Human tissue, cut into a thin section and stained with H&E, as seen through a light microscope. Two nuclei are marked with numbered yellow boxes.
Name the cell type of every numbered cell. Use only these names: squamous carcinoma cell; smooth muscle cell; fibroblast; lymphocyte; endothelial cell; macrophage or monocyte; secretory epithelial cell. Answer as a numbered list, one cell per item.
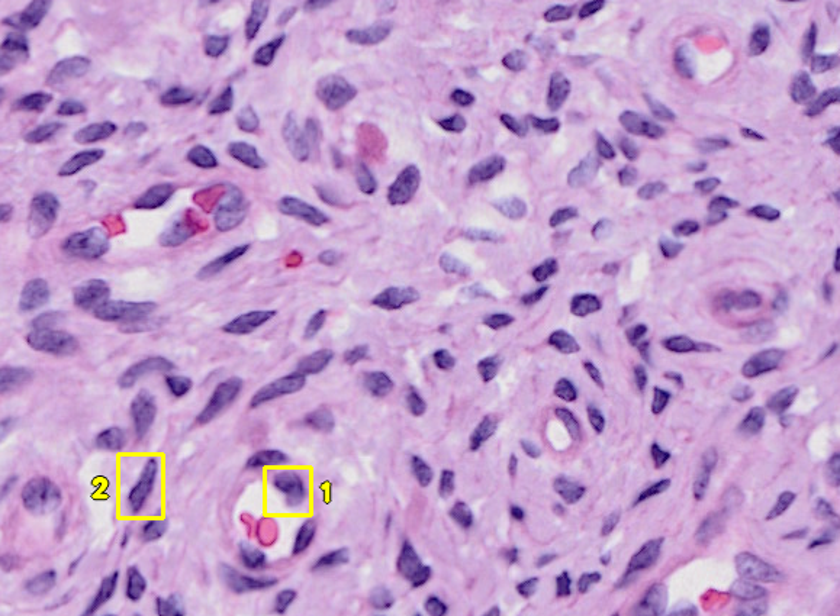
1. endothelial cell
2. fibroblast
